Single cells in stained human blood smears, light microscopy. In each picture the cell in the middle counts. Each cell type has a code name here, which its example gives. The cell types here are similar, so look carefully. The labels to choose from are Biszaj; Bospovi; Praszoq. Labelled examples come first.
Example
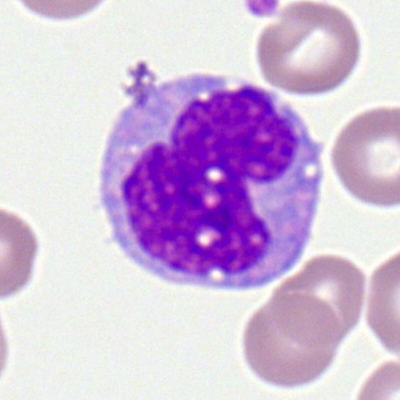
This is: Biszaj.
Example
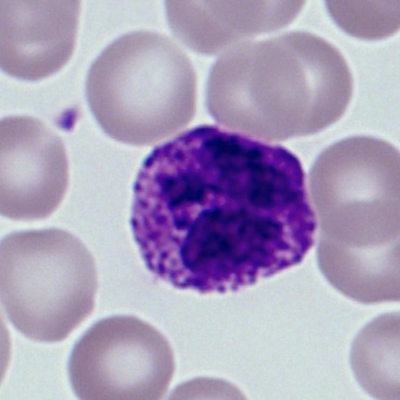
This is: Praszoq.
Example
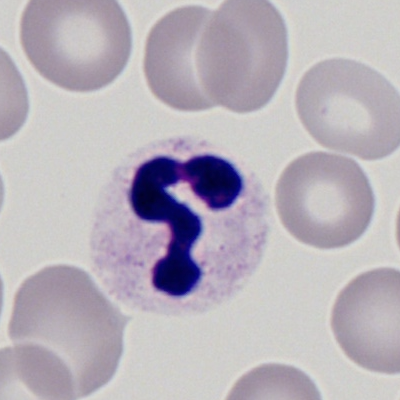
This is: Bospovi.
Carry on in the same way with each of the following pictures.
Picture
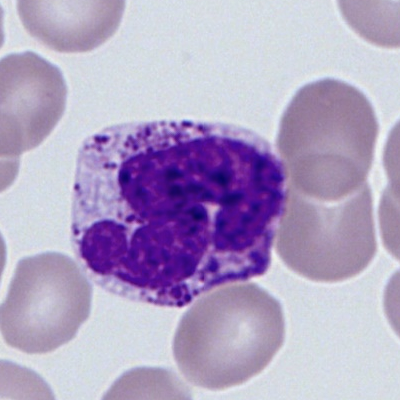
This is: Praszoq.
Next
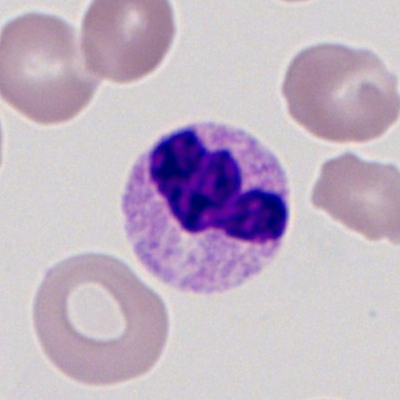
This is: Bospovi.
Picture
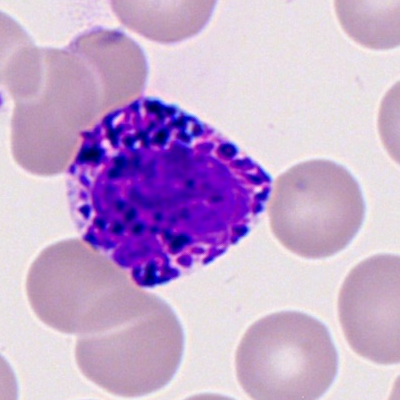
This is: Praszoq.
